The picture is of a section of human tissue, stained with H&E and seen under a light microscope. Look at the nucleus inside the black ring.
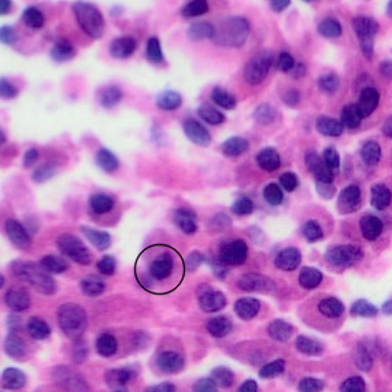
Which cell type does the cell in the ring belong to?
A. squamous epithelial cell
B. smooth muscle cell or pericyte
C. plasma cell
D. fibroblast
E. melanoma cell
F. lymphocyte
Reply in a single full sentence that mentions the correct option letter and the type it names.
Option C is right, and the cell in the ring is a plasma cell.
